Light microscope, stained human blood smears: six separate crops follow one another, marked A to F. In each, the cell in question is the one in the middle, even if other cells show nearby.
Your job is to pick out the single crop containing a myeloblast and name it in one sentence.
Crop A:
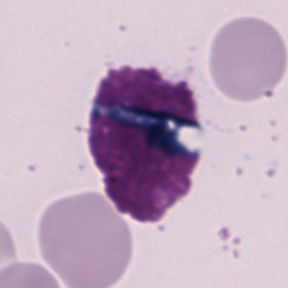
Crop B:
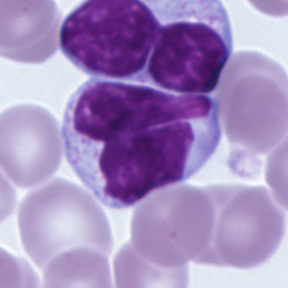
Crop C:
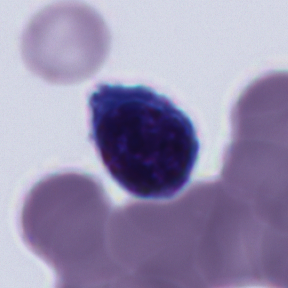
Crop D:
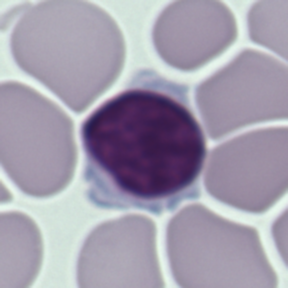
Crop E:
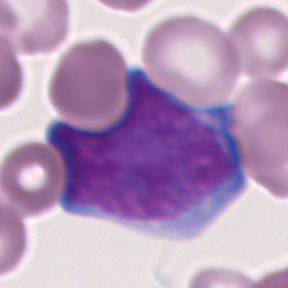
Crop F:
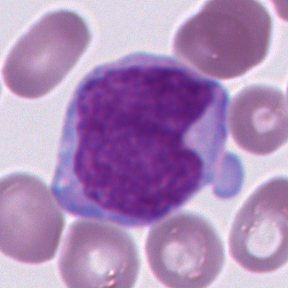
The crop marked E is the one that shows a myeloblast.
